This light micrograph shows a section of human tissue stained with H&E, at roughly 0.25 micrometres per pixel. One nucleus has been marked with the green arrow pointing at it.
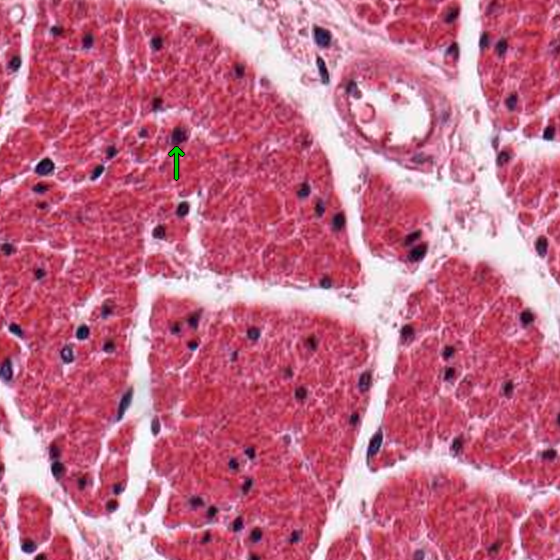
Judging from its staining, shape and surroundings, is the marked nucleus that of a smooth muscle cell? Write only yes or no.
yes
